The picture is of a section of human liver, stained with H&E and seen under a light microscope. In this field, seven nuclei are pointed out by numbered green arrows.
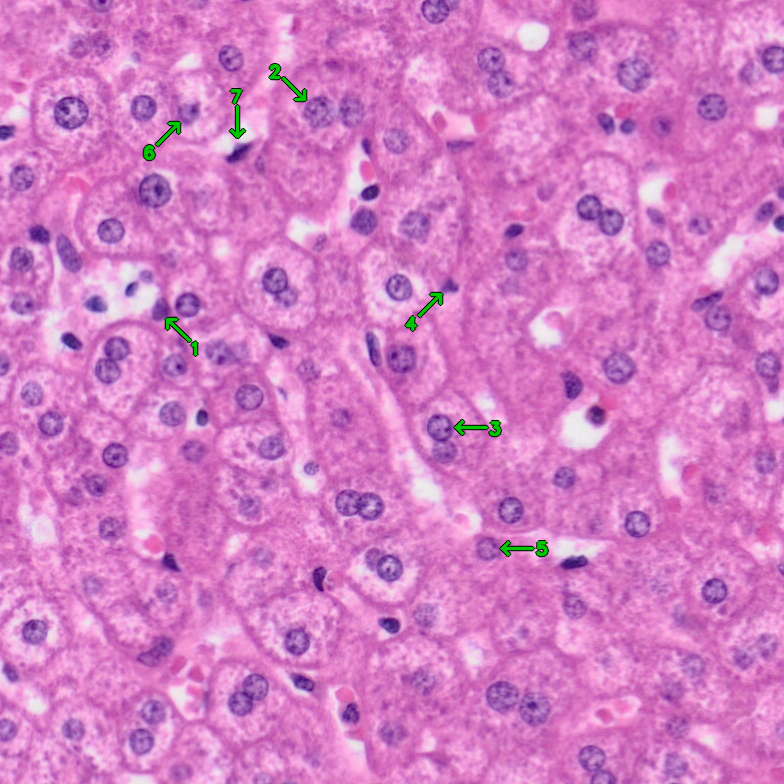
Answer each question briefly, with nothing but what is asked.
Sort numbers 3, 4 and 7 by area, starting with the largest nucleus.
3, 7, 4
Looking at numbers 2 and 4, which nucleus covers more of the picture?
2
